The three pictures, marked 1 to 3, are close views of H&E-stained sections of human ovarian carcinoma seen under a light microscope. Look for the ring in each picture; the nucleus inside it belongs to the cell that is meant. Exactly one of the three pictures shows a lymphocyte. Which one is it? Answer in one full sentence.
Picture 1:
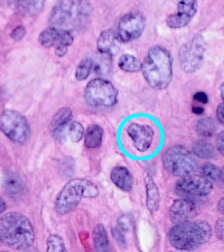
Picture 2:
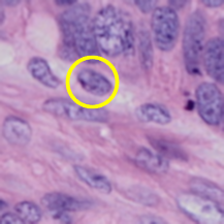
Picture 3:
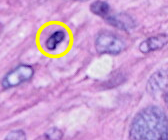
Picture 3 shows the lymphocyte.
